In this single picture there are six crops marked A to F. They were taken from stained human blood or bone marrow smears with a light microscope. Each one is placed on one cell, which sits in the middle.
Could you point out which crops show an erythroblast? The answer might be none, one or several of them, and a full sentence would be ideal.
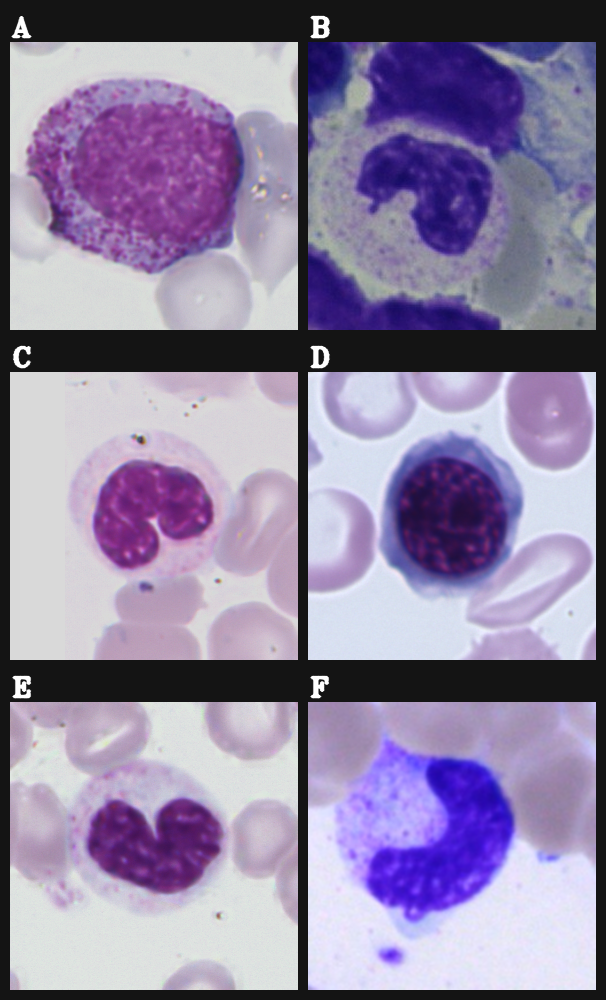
In crop D, and in no other crop, the central cell is an erythroblast.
